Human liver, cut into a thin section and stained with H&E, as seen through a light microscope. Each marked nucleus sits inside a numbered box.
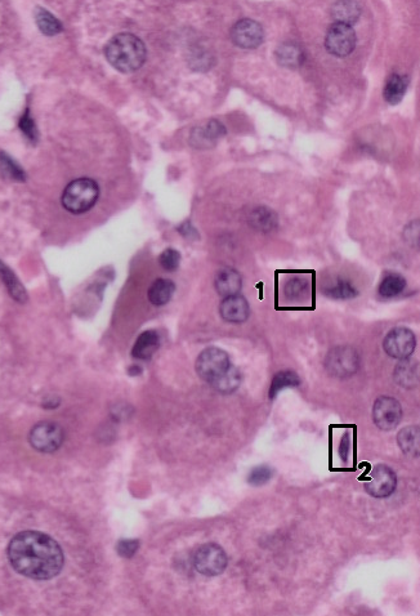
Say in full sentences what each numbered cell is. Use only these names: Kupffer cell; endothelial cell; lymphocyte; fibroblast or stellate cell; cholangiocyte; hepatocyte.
Cell 1 is a Kupffer cell. Cell 2 is an endothelial cell.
